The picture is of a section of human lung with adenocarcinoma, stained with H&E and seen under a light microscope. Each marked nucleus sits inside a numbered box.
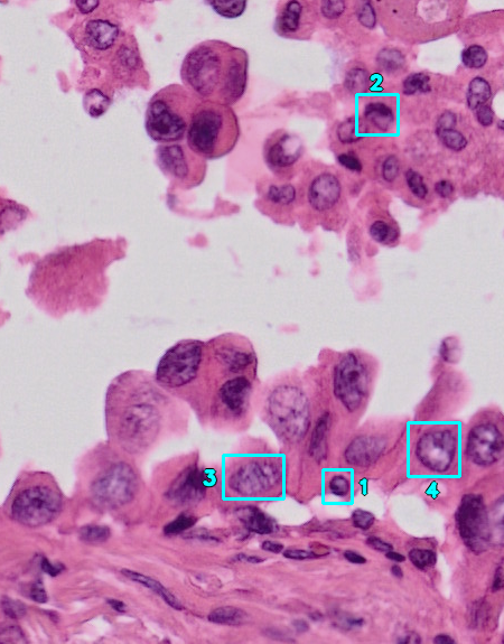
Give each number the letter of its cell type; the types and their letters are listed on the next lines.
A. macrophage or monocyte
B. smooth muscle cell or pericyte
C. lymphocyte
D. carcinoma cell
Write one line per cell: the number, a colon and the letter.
1: C
2: A
3: D
4: D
